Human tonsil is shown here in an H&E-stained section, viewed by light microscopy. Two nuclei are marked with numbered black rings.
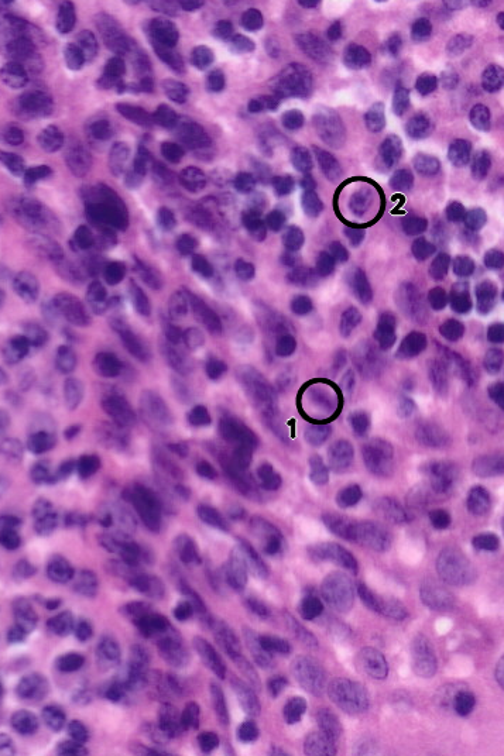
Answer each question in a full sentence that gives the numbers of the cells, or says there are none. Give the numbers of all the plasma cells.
Where the numbered cells are concerned, only number 2 is a plasma cell.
